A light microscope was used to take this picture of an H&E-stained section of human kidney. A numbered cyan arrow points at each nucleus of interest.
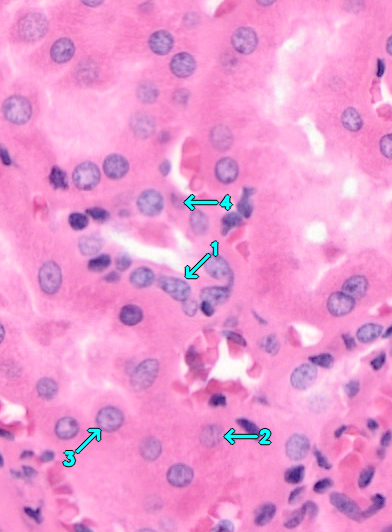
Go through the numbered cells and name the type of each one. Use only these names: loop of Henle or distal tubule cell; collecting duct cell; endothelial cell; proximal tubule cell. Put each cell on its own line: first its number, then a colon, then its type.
1: collecting duct cell
2: proximal tubule cell
3: proximal tubule cell
4: collecting duct cell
